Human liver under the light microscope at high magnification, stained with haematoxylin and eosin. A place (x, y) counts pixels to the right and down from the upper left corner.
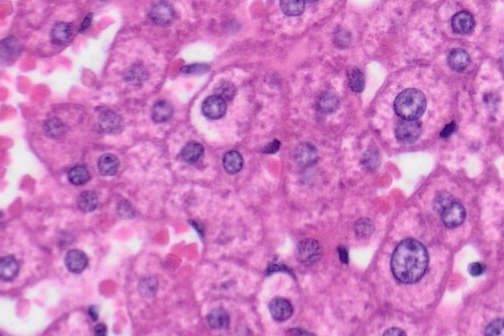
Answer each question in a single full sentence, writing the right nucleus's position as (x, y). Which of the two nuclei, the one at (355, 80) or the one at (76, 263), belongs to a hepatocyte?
The nucleus at (76, 263) belongs to a hepatocyte, which distinguishes it from the other nucleus.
